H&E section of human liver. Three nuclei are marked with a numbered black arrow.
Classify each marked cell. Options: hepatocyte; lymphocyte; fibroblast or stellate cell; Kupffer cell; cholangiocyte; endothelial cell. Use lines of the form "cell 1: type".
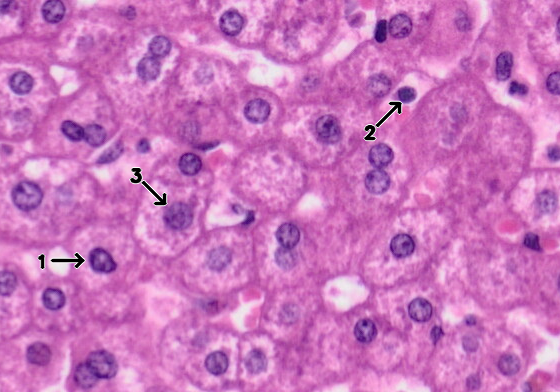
cell 1: hepatocyte
cell 2: lymphocyte
cell 3: hepatocyte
